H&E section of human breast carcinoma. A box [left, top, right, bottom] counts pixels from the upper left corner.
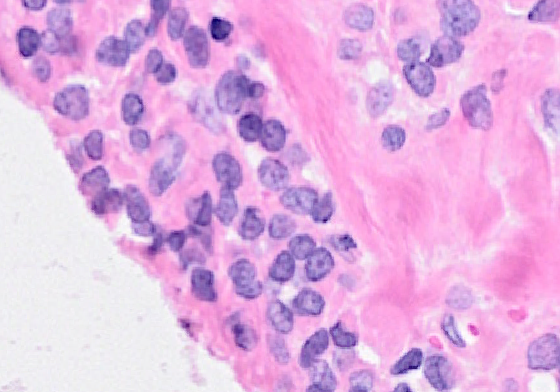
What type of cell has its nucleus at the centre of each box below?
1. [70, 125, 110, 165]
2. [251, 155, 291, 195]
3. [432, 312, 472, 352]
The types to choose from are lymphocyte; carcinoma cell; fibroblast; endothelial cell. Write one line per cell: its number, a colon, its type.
1: carcinoma cell
2: carcinoma cell
3: endothelial cell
